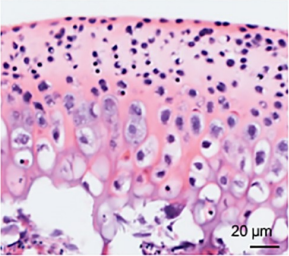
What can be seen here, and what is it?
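This is mandibular condyle cartilage, with a thin surface layer of flattened cells above a zone of small dark nuclei scattered in pale pink matrix. Below, large swollen chondrocytes with clear cytoplasm lie in lacunae, often in short columns, above an open space at the bottom of the field.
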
